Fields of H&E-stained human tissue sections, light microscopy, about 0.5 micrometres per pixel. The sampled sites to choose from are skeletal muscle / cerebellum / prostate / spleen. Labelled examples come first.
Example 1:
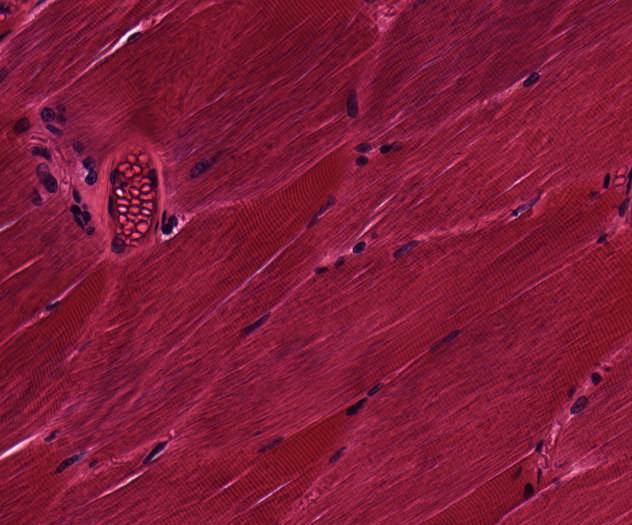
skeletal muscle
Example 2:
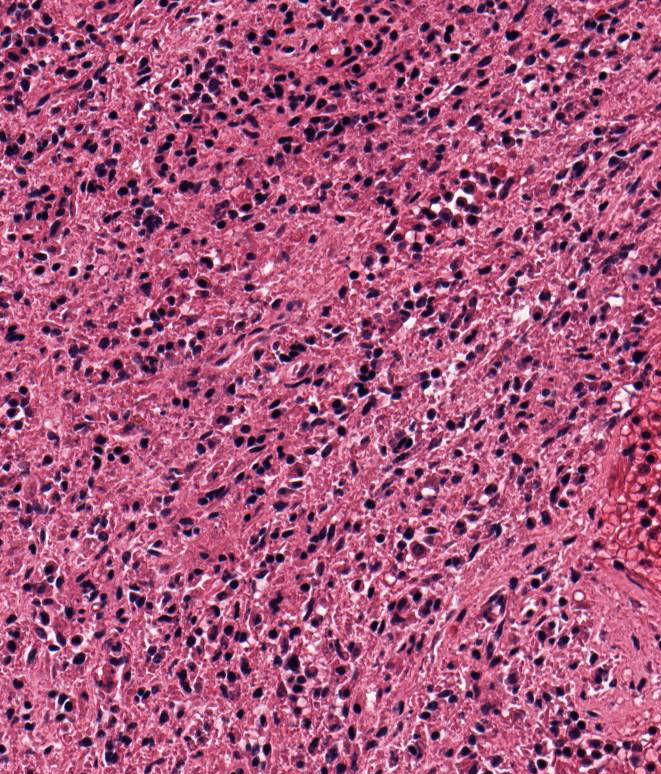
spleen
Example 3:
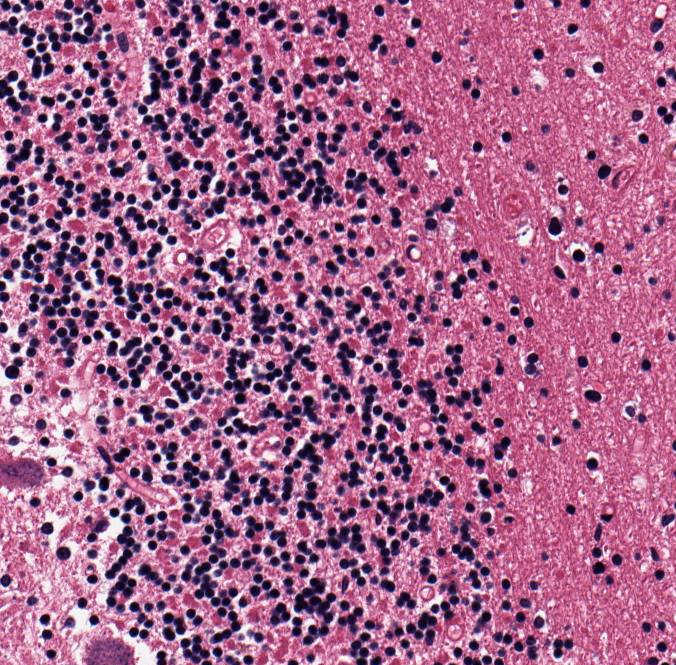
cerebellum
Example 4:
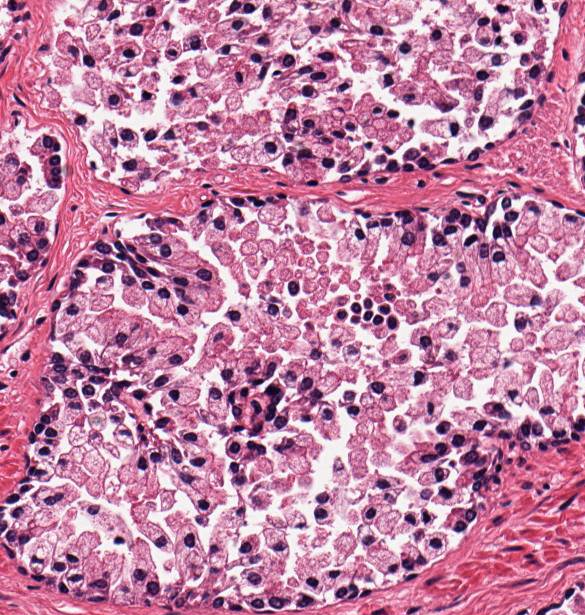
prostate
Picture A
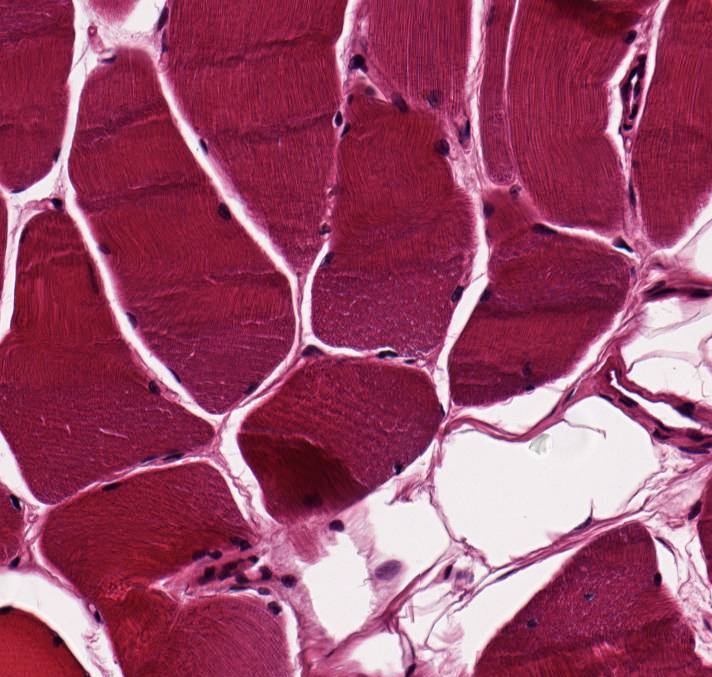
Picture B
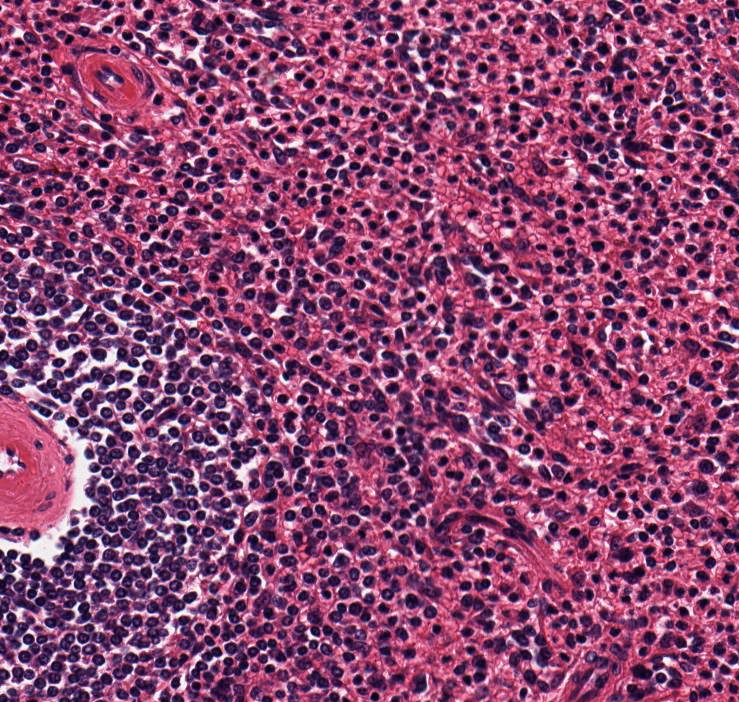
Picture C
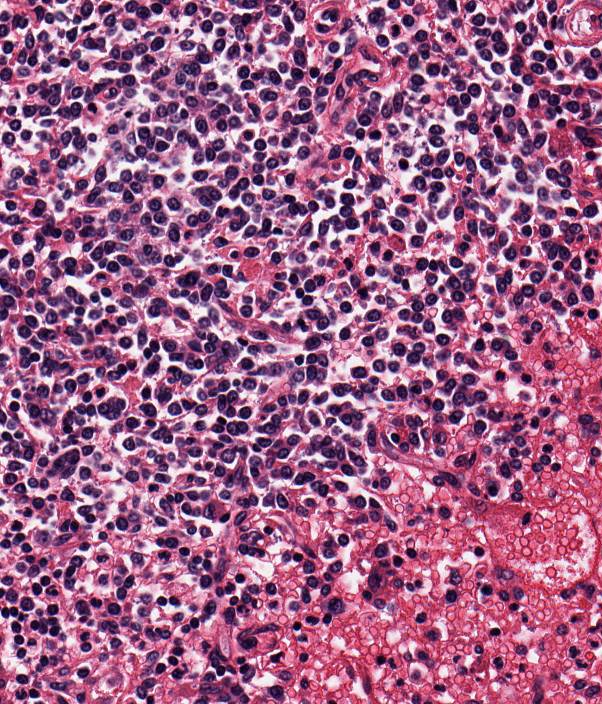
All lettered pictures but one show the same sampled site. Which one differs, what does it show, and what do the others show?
Odd one out: A (skeletal muscle). The rest: spleen.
